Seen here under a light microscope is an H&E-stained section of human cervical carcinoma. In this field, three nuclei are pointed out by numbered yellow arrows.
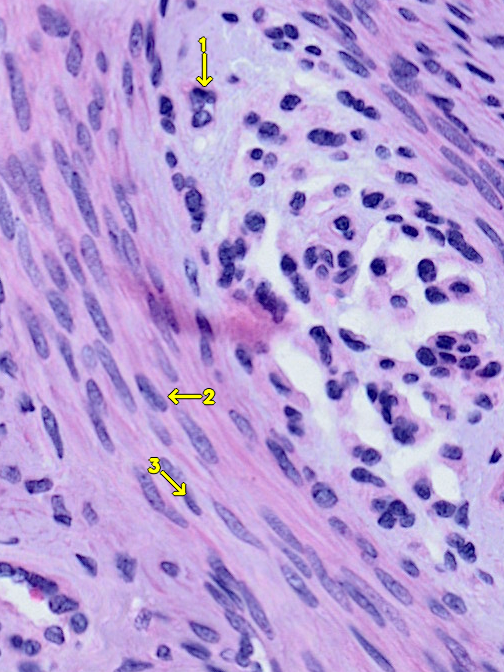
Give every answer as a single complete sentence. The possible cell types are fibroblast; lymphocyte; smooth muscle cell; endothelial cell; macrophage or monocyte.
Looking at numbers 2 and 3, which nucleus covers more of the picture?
Number 2 is larger; its area is about 2 times that of number 3.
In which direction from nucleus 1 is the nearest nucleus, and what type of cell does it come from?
Just below nucleus 1 lies the nearest nucleus, which belongs to an endothelial cell.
